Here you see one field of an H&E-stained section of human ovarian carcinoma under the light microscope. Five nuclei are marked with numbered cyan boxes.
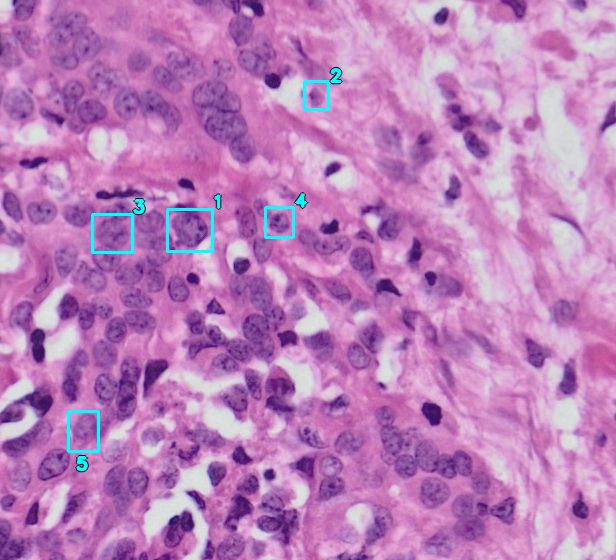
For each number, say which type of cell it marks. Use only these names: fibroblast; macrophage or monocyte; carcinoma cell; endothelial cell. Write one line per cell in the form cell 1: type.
cell 1: carcinoma cell
cell 2: fibroblast
cell 3: carcinoma cell
cell 4: macrophage or monocyte
cell 5: carcinoma cell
